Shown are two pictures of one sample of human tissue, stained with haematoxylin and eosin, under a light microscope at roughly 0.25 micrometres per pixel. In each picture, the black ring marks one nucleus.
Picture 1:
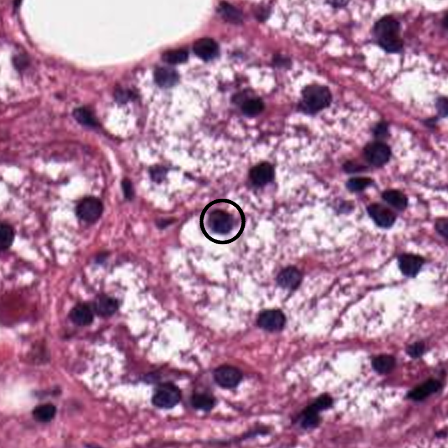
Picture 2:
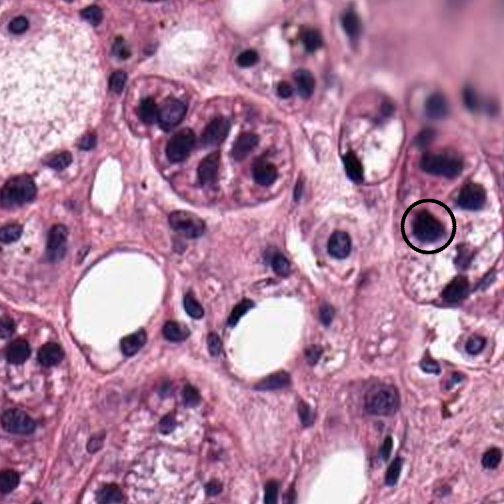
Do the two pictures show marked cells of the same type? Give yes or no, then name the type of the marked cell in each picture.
Yes, both are adrenal cortical cells.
